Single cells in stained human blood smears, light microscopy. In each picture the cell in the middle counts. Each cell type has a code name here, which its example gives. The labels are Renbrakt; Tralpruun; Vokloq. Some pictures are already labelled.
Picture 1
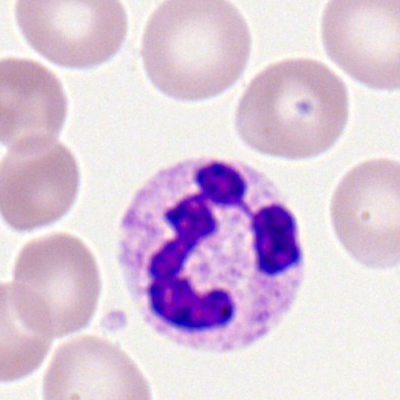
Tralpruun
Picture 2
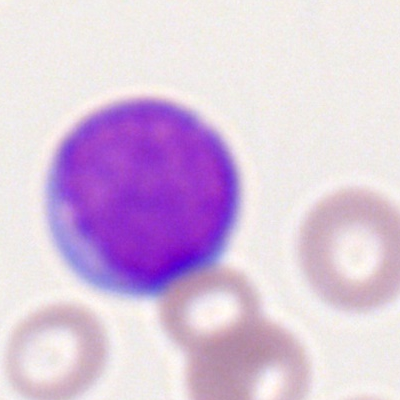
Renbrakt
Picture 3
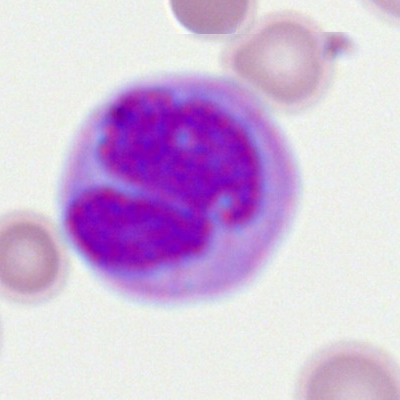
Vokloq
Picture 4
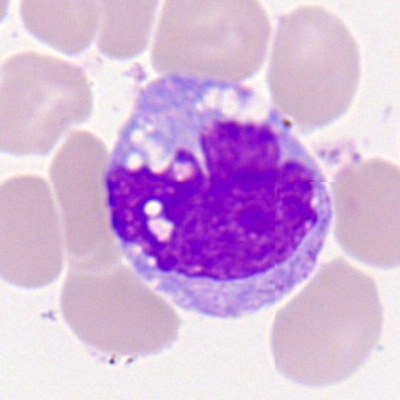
Vokloq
